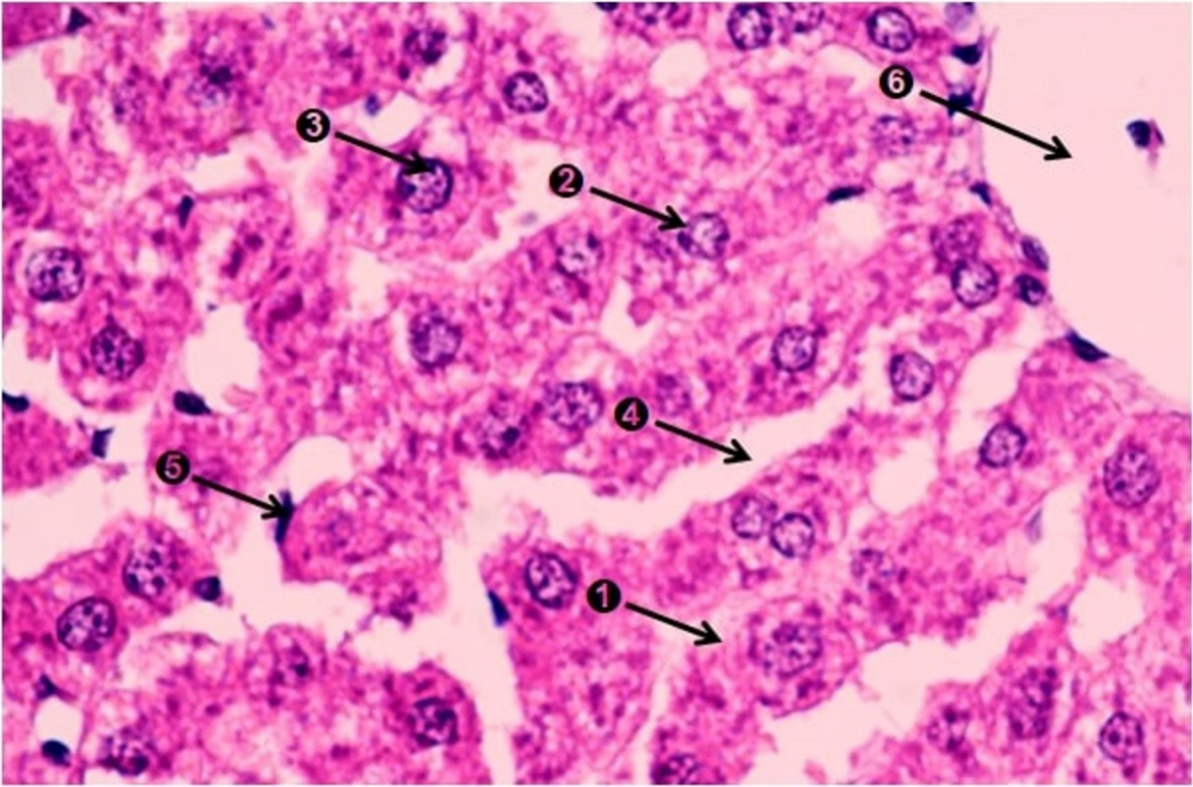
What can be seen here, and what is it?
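This is liver tissue with hepatocytes arranged in cords, separated by pale, narrow blood sinusoids. The hepatocytes are large polygonal cells with pink, finely granular cytoplasm and round, centrally placed purple nuclei with speckled chromatin and distinct dark nucleoli; a few cells hold two nuclei. Along the sinusoids lie small, dark, flattened or elongated nuclei, among them Kupffer cells. At the upper right a wide, empty lumen lined by flattened cells marks a central vein, toward which the cords of hepatocytes run.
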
